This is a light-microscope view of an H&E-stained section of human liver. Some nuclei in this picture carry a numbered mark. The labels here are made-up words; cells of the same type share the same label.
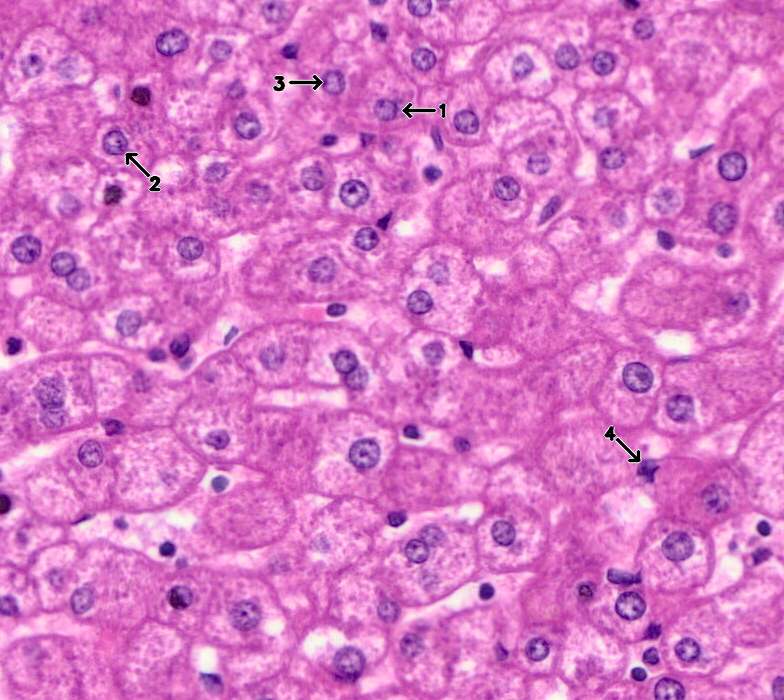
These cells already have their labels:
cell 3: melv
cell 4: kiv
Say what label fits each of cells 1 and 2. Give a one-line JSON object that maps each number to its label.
{"1": "melv", "2": "melv"}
